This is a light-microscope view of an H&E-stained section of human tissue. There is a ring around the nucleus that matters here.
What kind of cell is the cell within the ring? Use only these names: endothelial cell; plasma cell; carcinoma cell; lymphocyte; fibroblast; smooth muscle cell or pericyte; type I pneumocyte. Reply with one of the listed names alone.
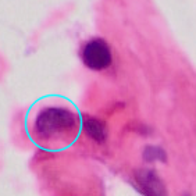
type I pneumocyte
